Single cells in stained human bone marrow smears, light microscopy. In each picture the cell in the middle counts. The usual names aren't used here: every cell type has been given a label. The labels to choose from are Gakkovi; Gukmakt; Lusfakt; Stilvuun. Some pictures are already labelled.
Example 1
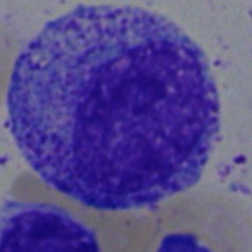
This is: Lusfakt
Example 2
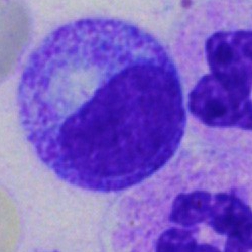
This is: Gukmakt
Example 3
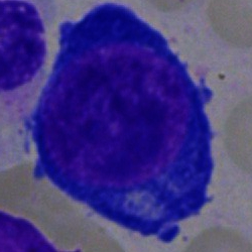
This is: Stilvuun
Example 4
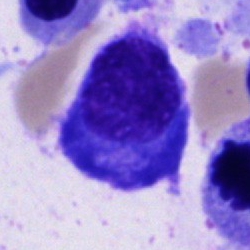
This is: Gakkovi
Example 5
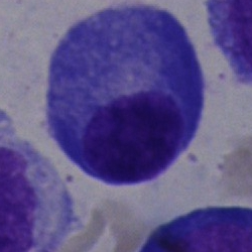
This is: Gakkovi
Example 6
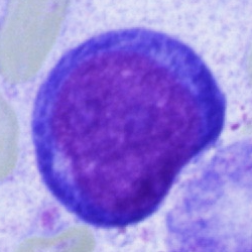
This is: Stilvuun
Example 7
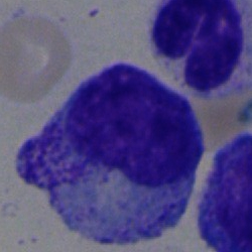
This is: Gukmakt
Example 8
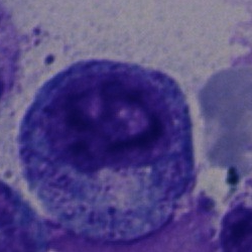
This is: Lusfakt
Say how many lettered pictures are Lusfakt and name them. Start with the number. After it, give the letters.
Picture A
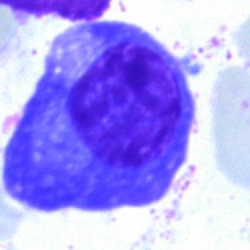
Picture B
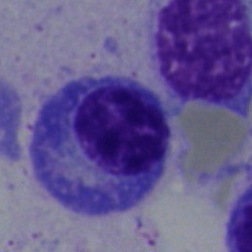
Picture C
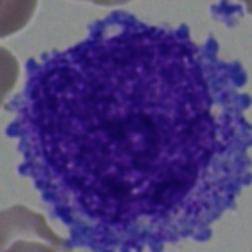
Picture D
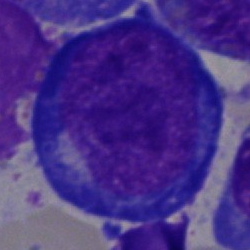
Count: 1 (C)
